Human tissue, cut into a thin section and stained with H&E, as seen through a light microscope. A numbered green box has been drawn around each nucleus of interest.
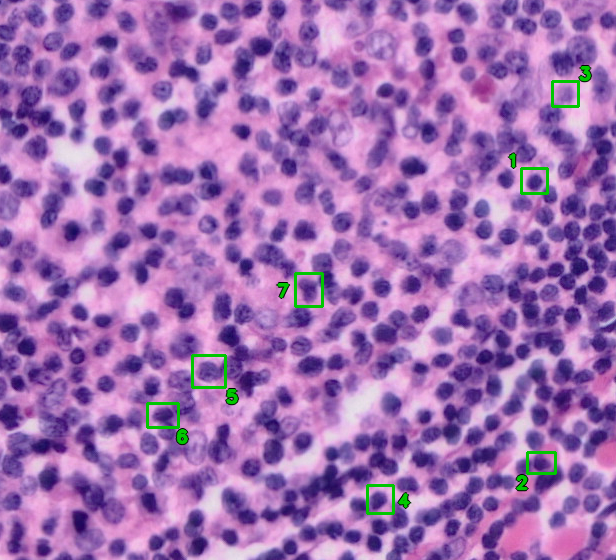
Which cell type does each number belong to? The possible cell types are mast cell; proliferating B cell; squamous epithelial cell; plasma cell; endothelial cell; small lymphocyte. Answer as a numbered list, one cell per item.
1. small lymphocyte
2. small lymphocyte
3. proliferating B cell
4. small lymphocyte
5. proliferating B cell
6. proliferating B cell
7. proliferating B cell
